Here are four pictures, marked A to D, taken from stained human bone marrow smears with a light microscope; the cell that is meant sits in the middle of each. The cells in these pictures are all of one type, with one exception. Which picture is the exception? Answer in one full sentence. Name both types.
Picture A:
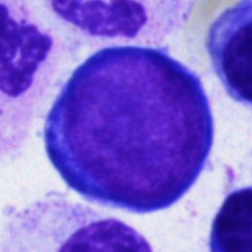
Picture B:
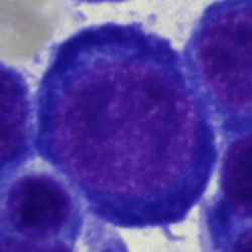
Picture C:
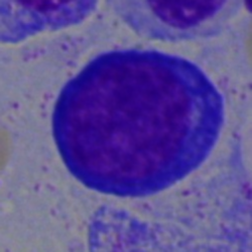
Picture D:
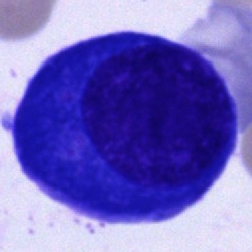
The others show proerythroblasts, but picture D shows a plasma cell.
